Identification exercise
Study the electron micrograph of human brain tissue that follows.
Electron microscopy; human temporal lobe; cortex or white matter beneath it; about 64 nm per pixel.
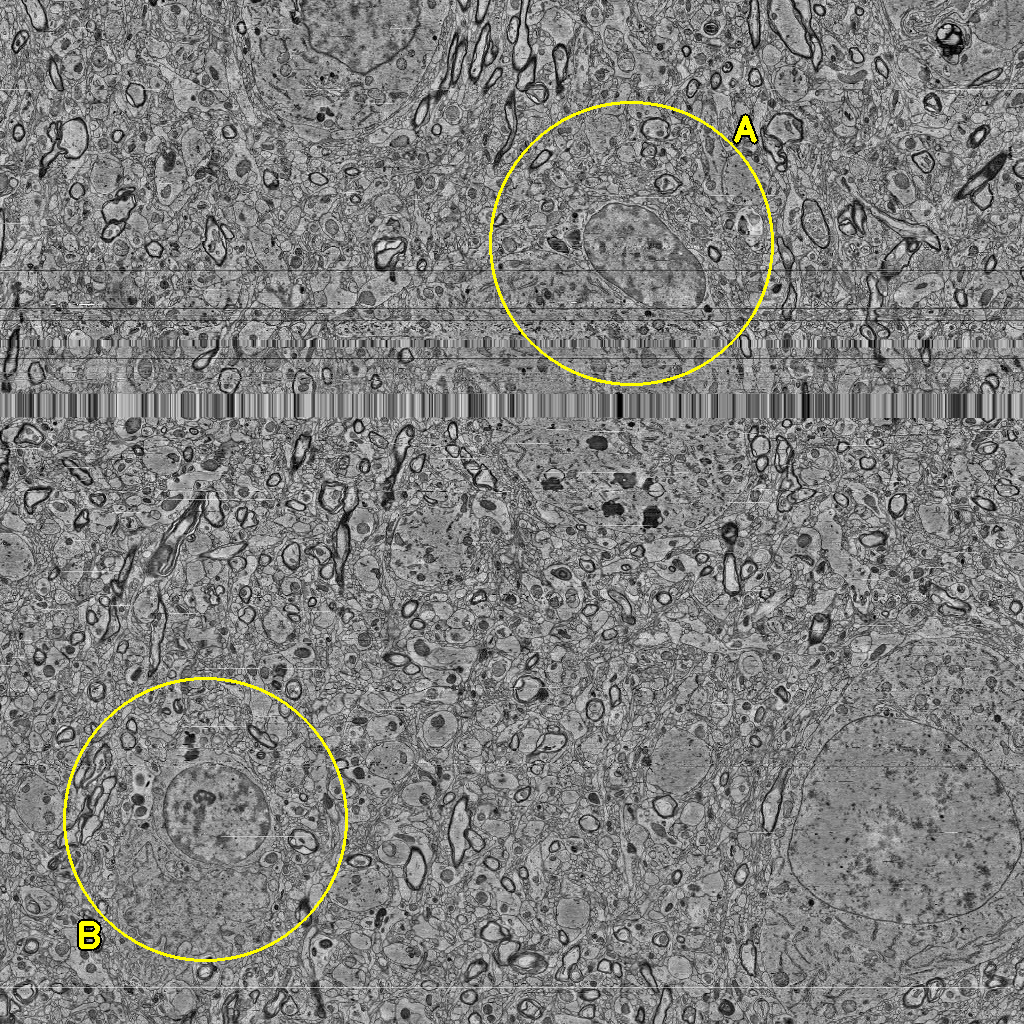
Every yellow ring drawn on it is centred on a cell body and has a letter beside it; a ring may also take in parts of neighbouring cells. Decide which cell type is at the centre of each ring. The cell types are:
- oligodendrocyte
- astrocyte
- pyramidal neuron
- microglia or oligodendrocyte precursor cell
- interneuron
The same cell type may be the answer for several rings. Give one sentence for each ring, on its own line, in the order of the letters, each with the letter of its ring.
Ring A encircles a microglial cell or oligodendrocyte precursor cell.
Ring B encircles an oligodendrocyte.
